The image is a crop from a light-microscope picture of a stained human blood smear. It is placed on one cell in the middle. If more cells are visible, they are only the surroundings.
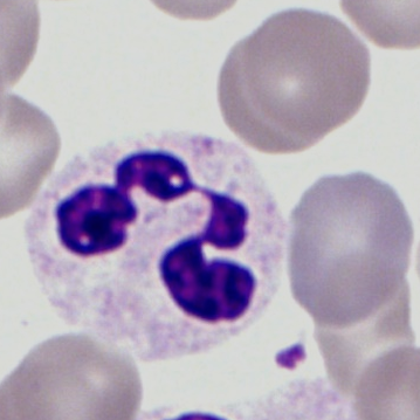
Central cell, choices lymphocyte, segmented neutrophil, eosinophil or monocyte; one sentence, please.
Classification of the middle cell gives a segmented neutrophil.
